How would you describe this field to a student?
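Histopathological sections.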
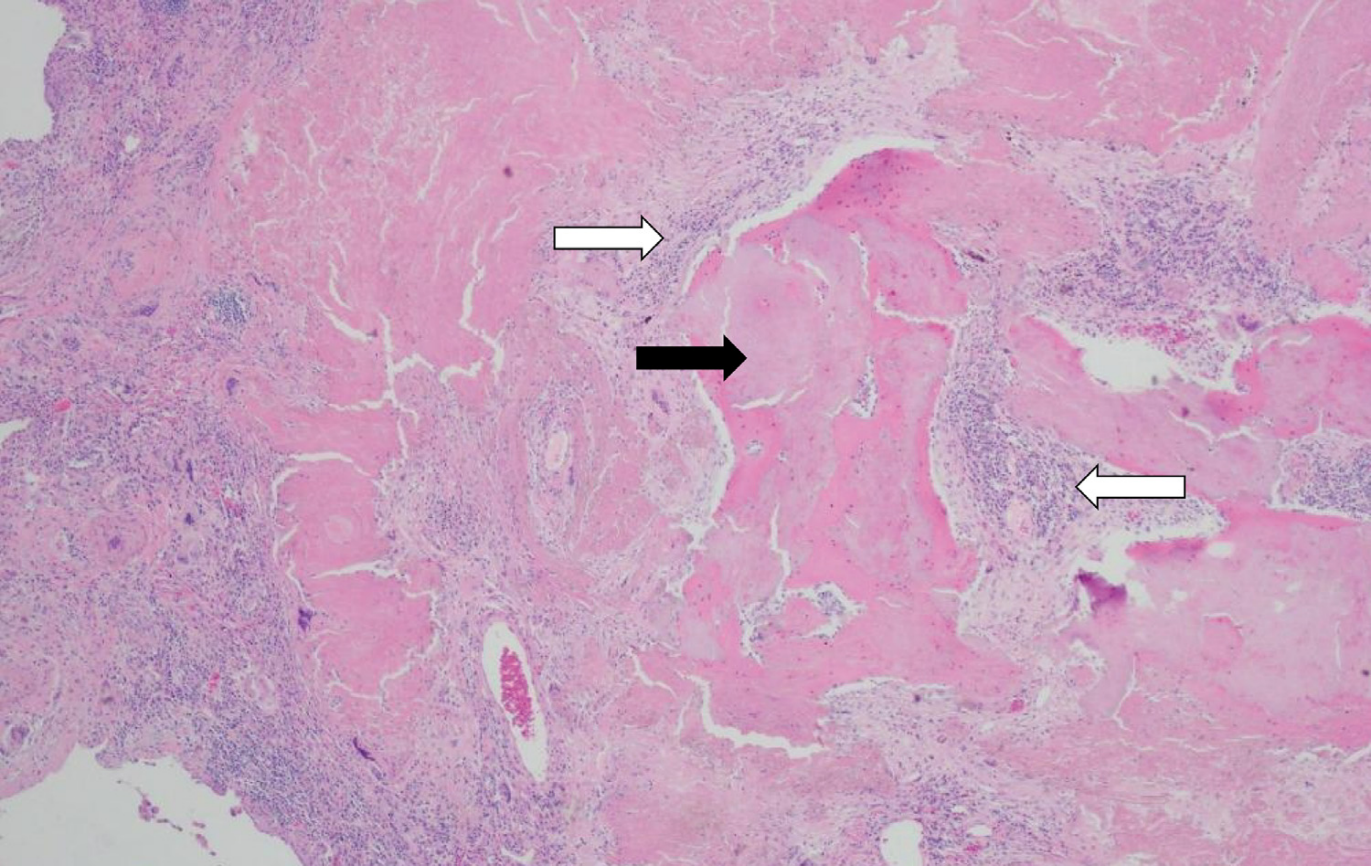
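This section is dominated by large sheets of amorphous, glassy pink material that contain almost no nuclei and are broken up by thin cracks and clefts. Between and around these pink masses run bands of densely packed inflammatory cells, seen as many small, round, dark purple nuclei. Toward the left edge, some larger cells with several nuclei lie among the inflammatory cells, bordering the pink material. A small blood vessel filled with red blood cells is seen in the lower middle of the field.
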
